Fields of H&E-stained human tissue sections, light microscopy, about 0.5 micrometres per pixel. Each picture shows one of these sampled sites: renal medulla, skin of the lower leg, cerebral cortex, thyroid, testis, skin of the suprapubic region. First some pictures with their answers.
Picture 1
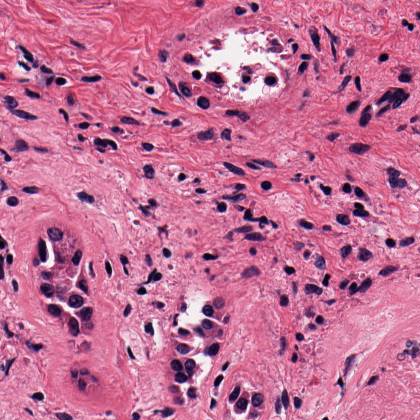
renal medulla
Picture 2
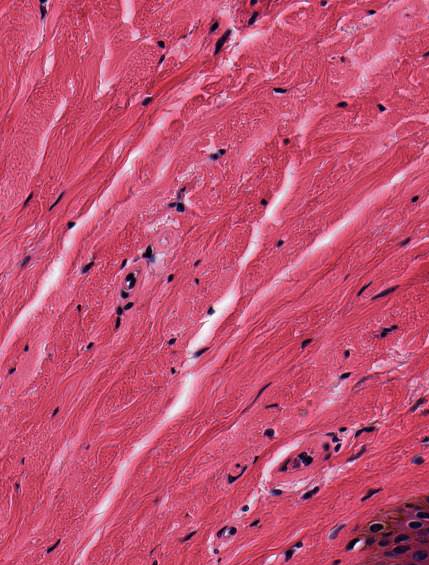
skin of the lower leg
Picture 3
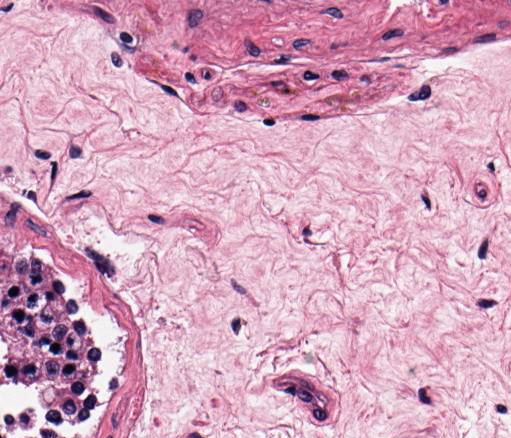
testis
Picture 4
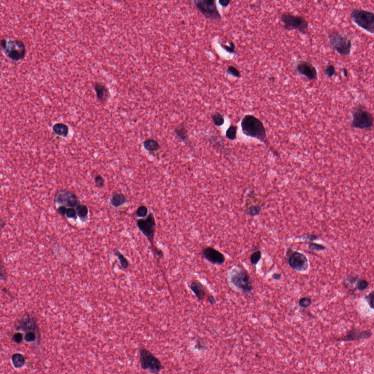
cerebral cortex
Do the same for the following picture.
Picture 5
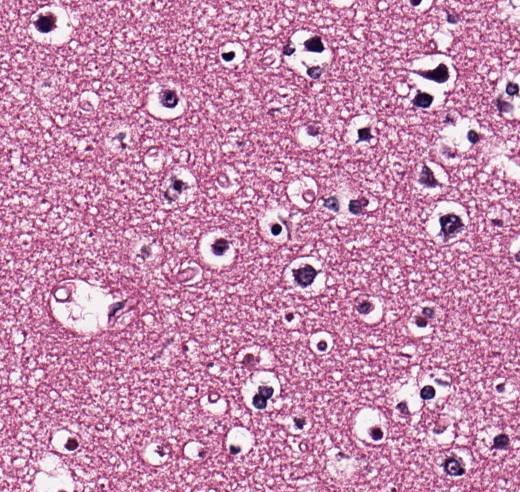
cerebral cortex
